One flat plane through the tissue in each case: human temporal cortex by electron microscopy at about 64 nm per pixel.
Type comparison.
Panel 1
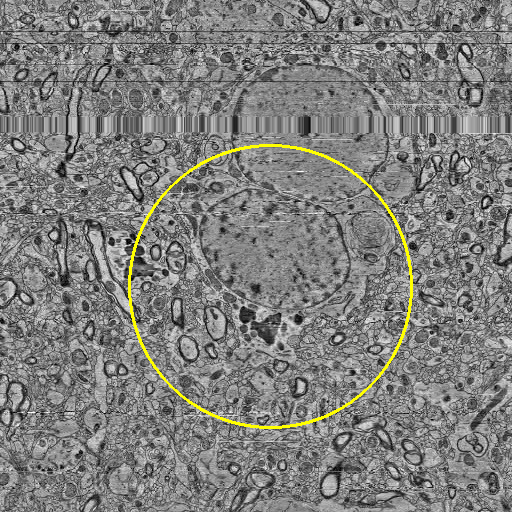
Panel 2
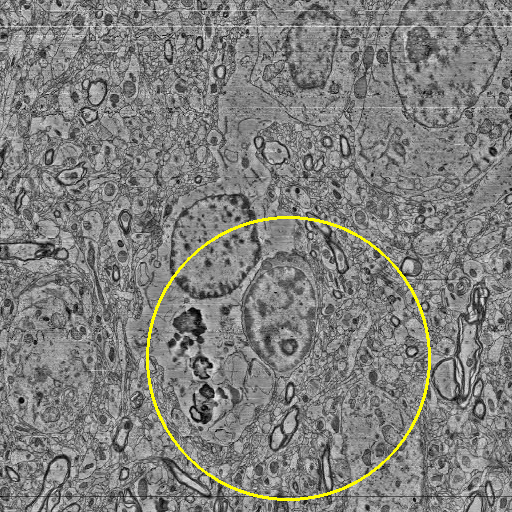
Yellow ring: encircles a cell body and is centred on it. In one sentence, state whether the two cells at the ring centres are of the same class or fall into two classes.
In these panels, the two cells at the ring centres fall into two classes.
